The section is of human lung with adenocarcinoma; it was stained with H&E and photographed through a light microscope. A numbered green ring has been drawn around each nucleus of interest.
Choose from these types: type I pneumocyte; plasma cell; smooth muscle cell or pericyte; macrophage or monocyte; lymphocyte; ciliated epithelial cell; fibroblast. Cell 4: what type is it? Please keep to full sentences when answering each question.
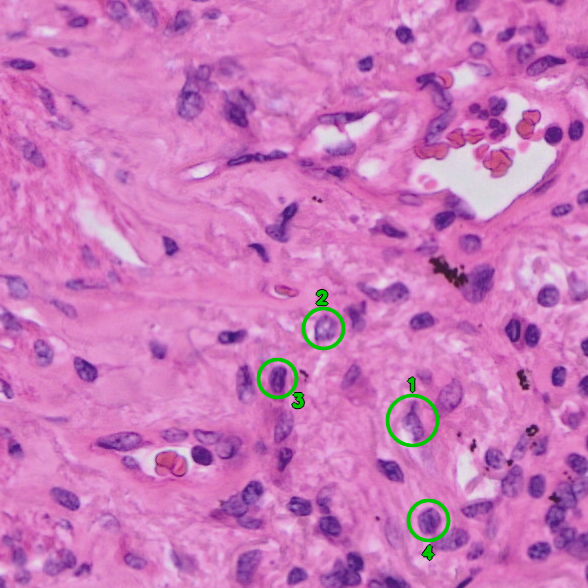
In this section, the cell numbered 4 is a lymphocyte.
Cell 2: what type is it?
Of the numbered cells, the one labelled 2 is a fibroblast.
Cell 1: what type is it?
The cell identified by the number 1 is a fibroblast.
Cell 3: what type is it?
Number 3 among the marked cells is a plasma cell.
